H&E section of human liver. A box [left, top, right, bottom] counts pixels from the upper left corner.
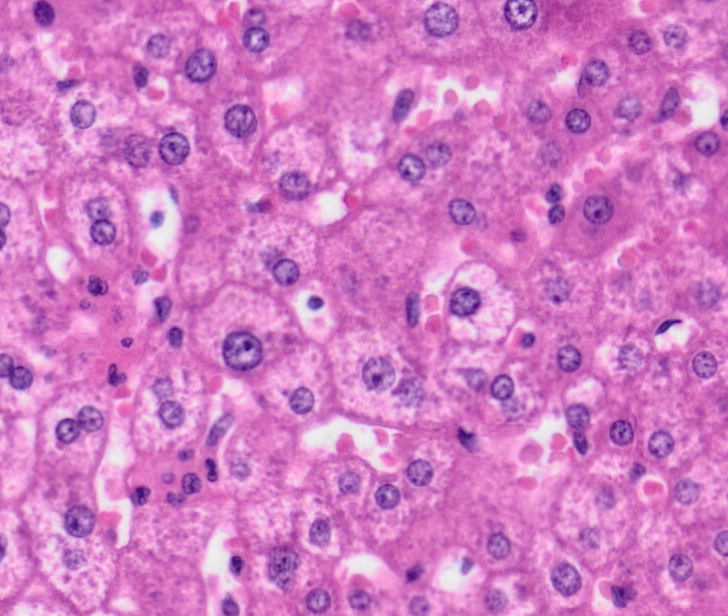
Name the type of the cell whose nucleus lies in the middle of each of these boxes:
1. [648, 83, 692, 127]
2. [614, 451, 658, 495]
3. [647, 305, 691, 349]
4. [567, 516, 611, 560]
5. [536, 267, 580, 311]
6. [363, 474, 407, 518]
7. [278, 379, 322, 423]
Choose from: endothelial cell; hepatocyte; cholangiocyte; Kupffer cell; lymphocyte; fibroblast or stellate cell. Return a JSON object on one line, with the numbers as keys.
{"1": "Kupffer cell", "2": "endothelial cell", "3": "endothelial cell", "4": "hepatocyte", "5": "hepatocyte", "6": "hepatocyte", "7": "hepatocyte"}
